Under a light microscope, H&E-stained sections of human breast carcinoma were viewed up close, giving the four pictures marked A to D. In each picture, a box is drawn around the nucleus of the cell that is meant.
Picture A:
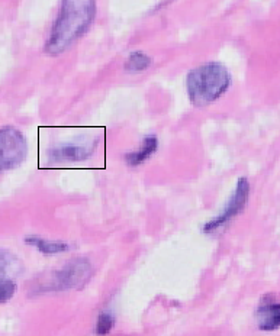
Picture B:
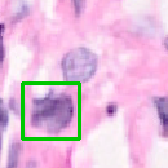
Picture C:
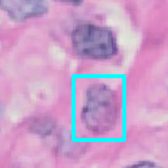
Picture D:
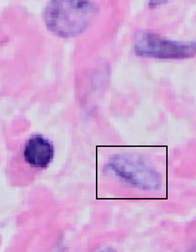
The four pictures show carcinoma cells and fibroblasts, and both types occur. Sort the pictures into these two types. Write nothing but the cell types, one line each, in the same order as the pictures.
fibroblast
carcinoma cell
carcinoma cell
fibroblast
